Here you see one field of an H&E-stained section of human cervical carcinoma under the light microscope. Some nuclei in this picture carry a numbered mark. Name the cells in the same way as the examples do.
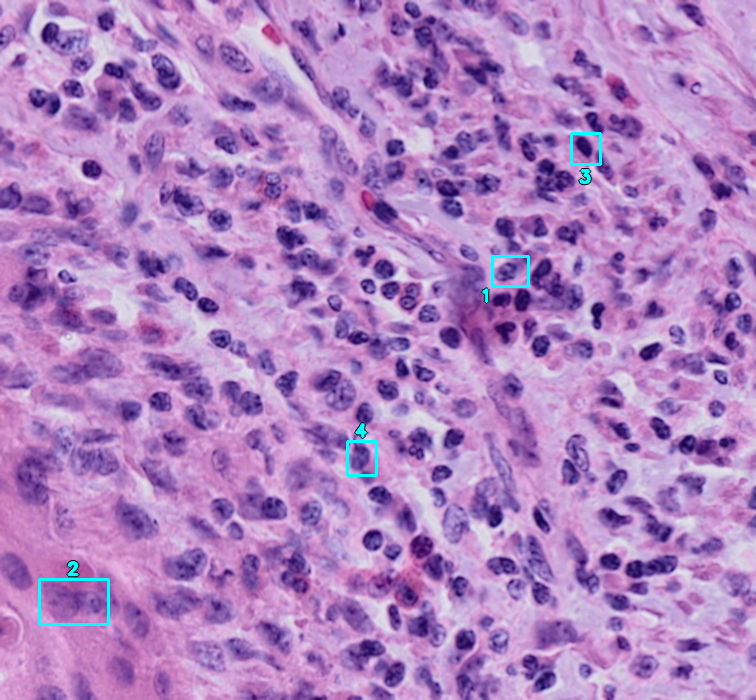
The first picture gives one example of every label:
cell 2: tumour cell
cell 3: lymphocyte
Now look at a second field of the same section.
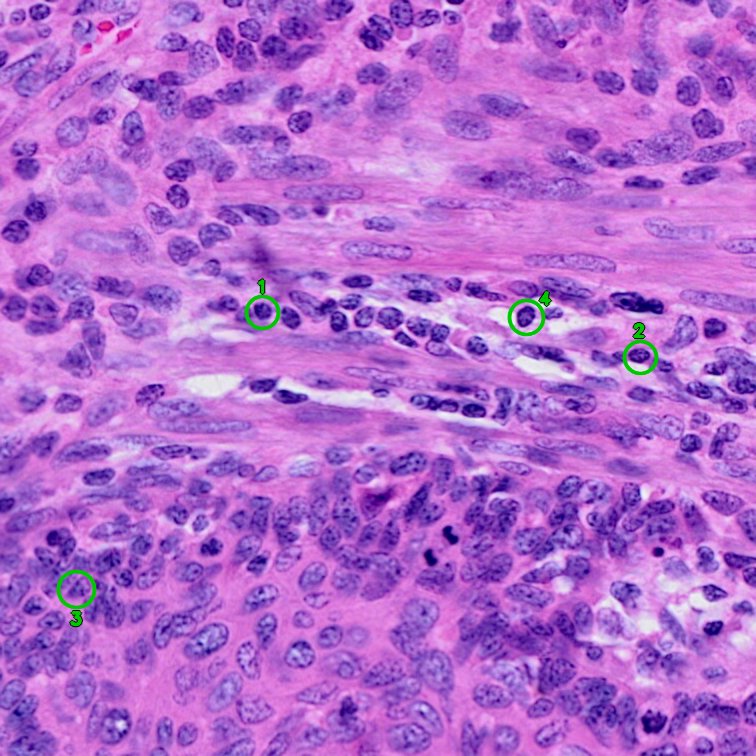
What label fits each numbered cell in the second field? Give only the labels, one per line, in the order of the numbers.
lymphocyte
lymphocyte
tumour cell
lymphocyte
